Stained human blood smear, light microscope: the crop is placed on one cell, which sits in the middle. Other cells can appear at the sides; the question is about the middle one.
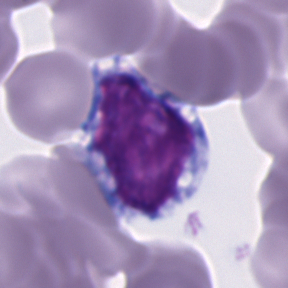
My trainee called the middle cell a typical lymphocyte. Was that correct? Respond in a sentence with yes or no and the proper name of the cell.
Yes, the centred cell is categorised as a typical lymphocyte.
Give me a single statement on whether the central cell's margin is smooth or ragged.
The periphery of this cell is uneven, with ragged portions or projections.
